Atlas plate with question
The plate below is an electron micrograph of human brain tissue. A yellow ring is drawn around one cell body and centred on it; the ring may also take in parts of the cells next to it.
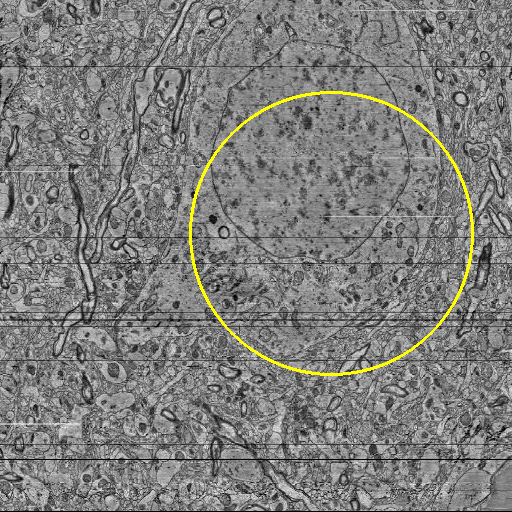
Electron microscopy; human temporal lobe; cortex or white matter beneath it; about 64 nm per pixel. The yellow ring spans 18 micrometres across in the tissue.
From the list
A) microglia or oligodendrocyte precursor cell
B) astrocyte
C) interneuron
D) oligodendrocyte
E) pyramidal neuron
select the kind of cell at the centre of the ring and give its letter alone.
E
